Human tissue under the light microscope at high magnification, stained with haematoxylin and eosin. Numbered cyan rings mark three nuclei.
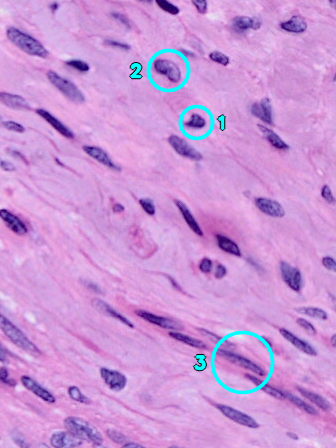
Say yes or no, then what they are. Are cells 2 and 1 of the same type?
Yes, cells 2 and 1 both count as fibroblasts.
